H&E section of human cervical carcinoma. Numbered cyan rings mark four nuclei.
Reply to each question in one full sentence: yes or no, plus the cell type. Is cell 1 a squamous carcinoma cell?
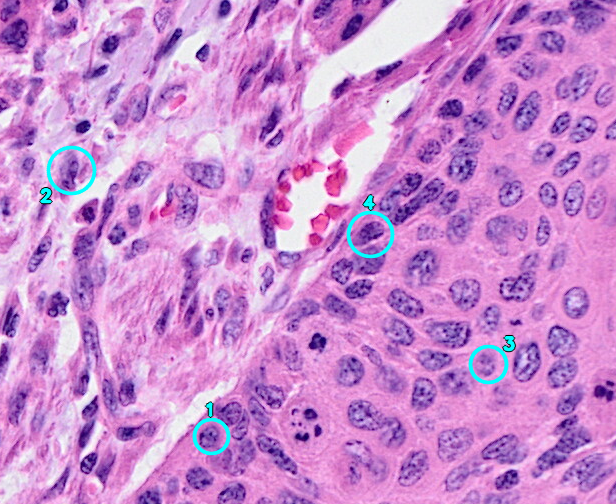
Yes, in this tissue section, number 1 is a squamous carcinoma cell.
